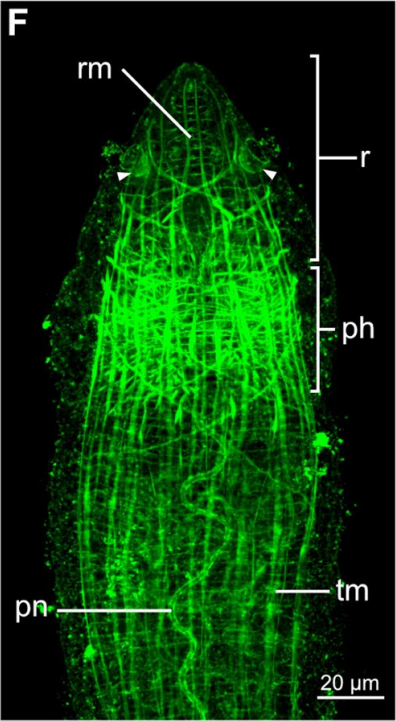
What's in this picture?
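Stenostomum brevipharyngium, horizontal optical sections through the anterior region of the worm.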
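Green fibres outline the front of the worm: fine longitudinal strands run up into the pointed tip, and behind them a dense criss-crossing meshwork of fibres fills a broad band across the body. Further back, long parallel fibres run lengthwise along the body, crossed by finer circular ones. A thin wavy tube runs down along the middle of the rear part. These are the rostral musculature, the muscular pharynx, the trunk musculature and a protonephridium, with small paired indentations at the sides of the head marking the sensory pits.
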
